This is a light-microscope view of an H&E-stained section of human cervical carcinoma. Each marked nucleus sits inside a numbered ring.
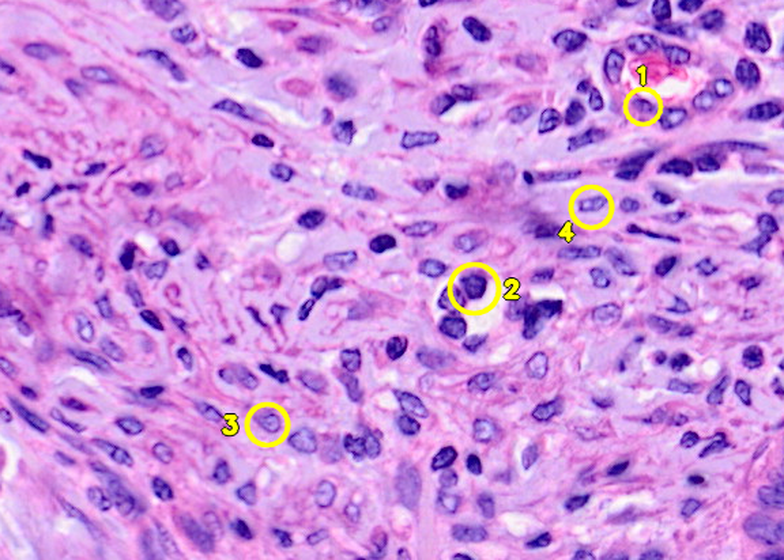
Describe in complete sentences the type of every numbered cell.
Cell 1 is an endothelial cell, cell 2 is a lymphocyte, cell 3 is a smooth muscle cell and cell 4 is a fibroblast.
